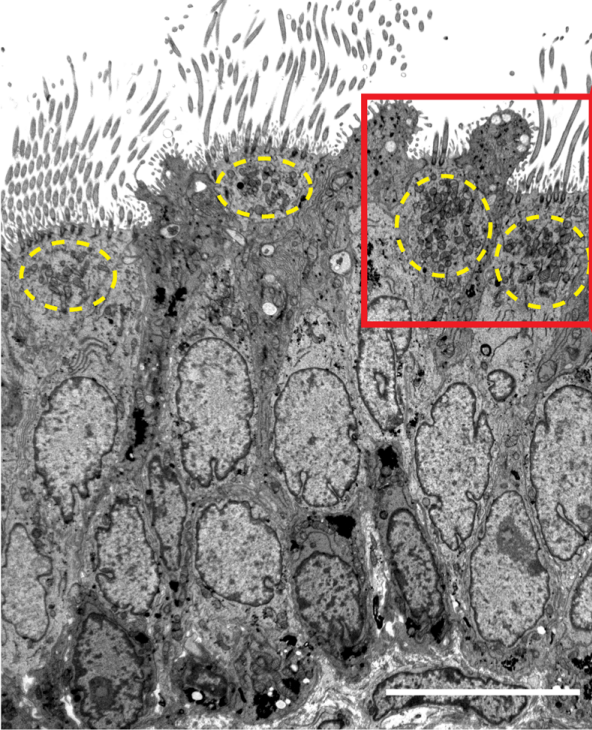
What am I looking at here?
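A tall epithelium of columnar cells whose oval nuclei lie at several heights, giving a layered look, while smaller cells sit against the base. The free surface is covered by a dense brush of cilia, seen as long slender shafts and cut ovals. Between ciliated cells, some cells bulge above the surface with pale vesicles in their tops. Just under the ciliated surface, the apical cytoplasm holds tight clusters of small dark organelles, outlined by yellow dashed circles. This is airway epithelium with ciliated and secretory cells, the clusters being mitochondria gathered directly below the cilia.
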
